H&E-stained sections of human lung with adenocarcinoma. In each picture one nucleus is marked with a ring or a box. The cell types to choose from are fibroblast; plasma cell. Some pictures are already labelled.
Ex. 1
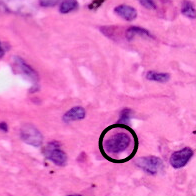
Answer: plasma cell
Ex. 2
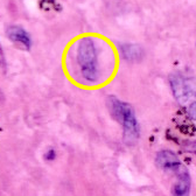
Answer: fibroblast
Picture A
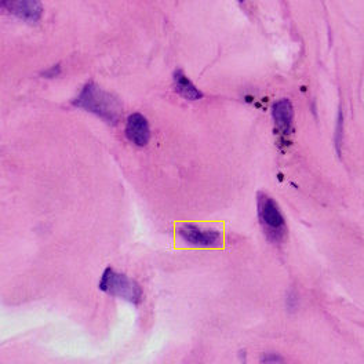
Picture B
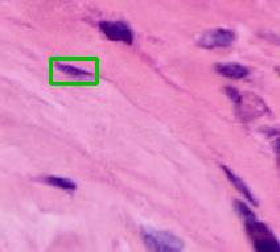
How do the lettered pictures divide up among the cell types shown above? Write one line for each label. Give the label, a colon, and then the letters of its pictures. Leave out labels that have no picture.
fibroblast: A, B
